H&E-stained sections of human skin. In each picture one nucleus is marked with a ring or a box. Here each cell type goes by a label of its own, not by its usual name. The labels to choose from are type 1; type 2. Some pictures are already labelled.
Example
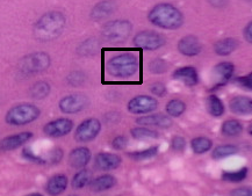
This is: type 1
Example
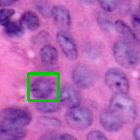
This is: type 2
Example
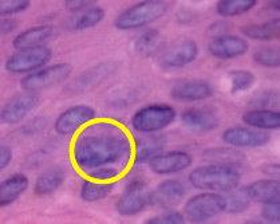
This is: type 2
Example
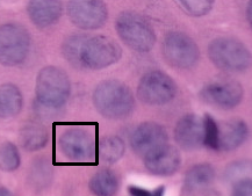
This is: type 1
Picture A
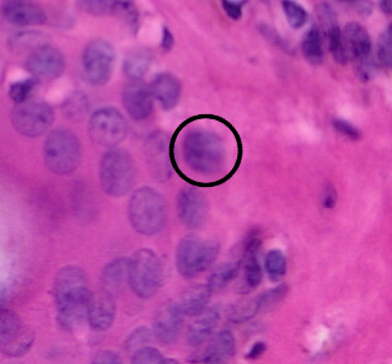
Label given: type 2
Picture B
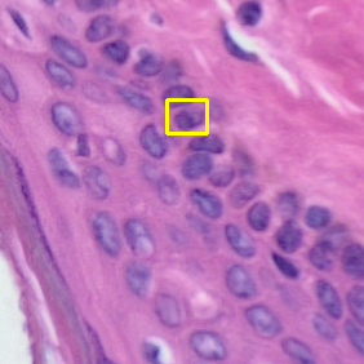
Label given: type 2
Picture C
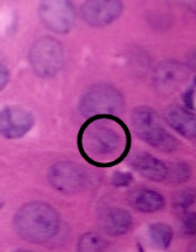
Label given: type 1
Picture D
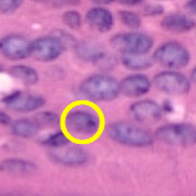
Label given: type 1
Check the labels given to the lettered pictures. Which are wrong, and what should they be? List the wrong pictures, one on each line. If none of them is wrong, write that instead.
Nothing to fix; every label fits.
